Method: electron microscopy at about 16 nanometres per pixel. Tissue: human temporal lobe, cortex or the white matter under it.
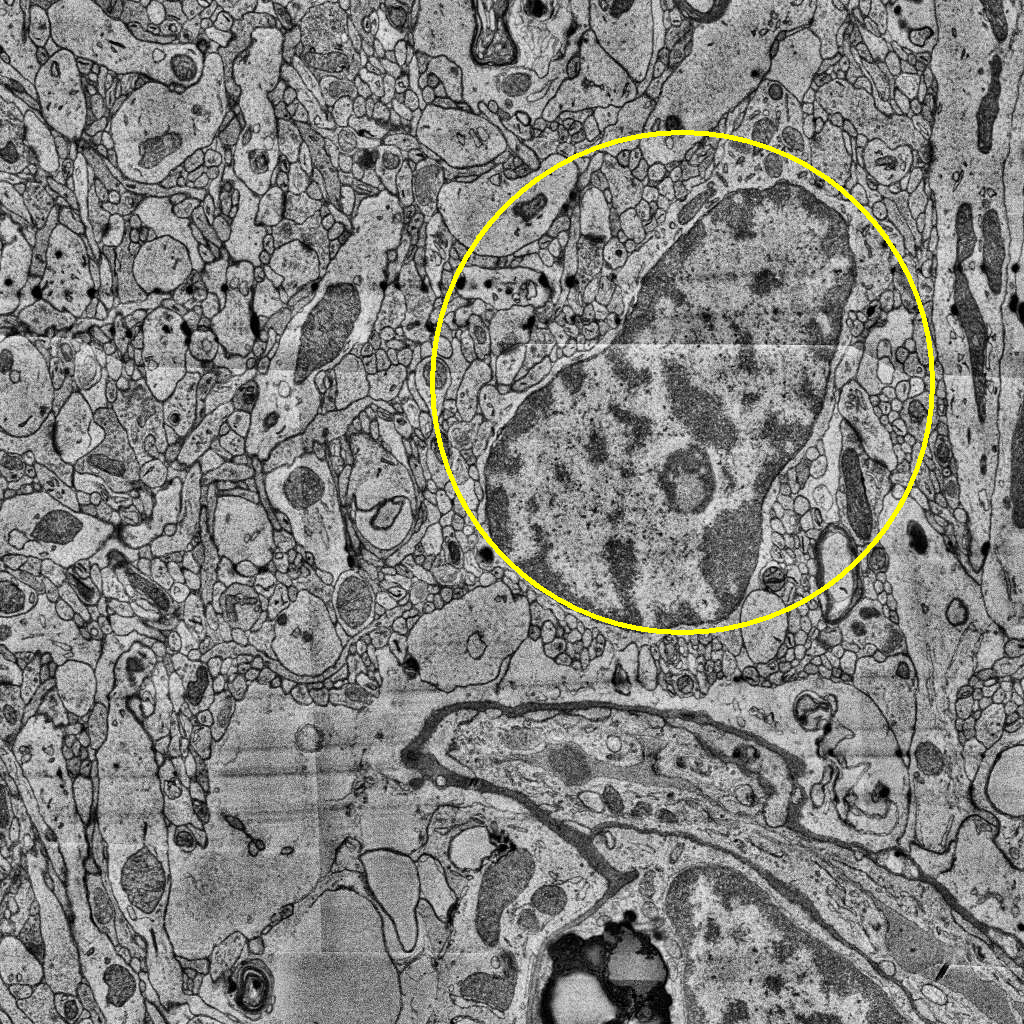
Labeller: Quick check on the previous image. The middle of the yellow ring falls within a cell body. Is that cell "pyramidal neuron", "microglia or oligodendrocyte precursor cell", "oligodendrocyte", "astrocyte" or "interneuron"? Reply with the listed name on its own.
microglia or oligodendrocyte precursor cell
